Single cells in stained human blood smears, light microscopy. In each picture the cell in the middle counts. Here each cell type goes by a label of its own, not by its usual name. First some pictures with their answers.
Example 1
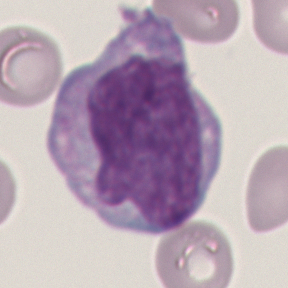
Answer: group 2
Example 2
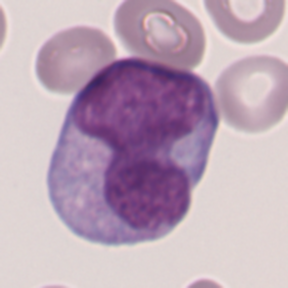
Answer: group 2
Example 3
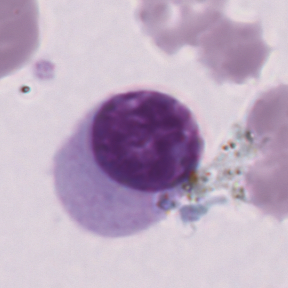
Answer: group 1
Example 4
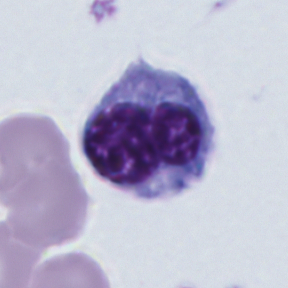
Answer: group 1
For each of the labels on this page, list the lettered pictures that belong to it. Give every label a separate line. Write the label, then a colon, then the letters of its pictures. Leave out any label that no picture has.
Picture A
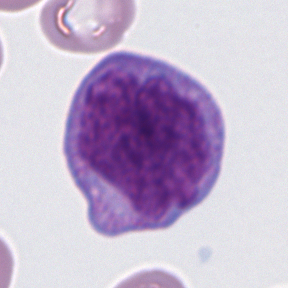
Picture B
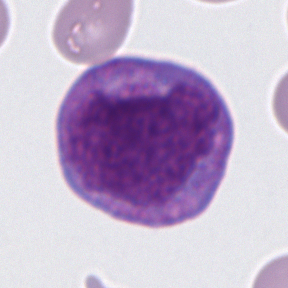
group 2: A, B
